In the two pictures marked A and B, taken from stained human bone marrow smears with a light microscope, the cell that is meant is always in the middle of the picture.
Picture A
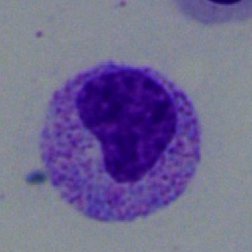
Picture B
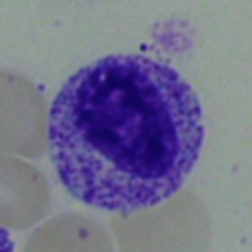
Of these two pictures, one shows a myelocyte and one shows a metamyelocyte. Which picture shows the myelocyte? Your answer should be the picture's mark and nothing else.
B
